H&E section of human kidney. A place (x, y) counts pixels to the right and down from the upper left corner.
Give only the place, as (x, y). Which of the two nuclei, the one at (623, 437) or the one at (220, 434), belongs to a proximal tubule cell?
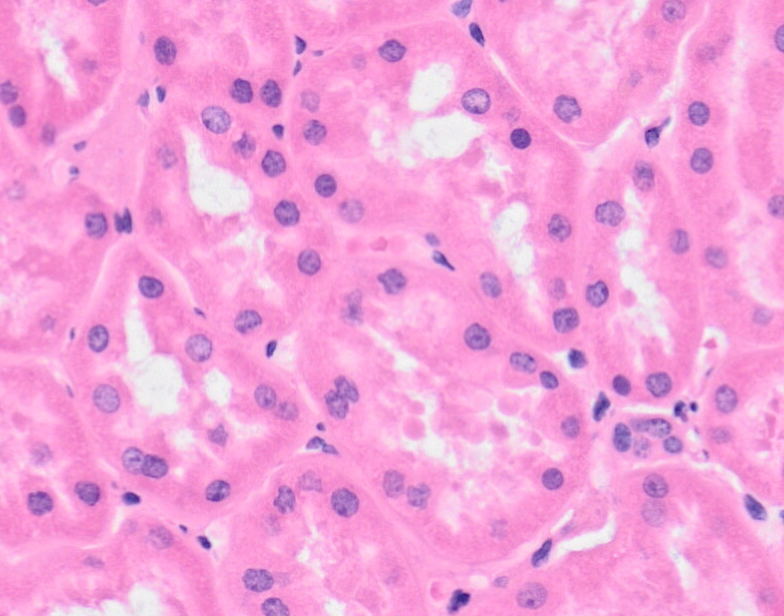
(220, 434)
